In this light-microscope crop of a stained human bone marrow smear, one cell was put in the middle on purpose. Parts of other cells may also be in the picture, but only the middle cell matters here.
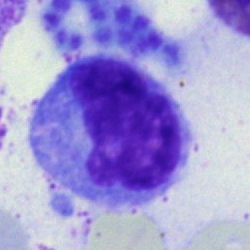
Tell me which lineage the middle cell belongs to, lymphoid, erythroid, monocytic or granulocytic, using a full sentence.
The lineage of the cell at the center of the crop is monocytic.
